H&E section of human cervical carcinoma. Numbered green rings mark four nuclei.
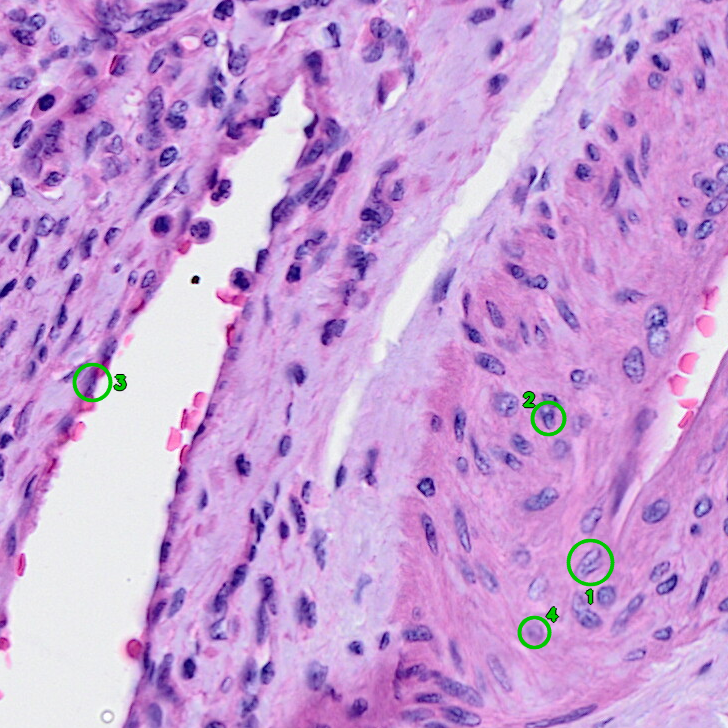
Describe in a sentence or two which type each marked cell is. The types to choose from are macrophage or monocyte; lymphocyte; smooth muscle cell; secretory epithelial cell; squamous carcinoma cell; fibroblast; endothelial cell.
Cells 1, 2 and 4 are smooth muscle cells. Cell 3 is an endothelial cell.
